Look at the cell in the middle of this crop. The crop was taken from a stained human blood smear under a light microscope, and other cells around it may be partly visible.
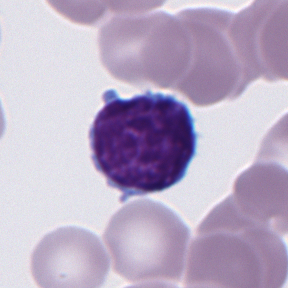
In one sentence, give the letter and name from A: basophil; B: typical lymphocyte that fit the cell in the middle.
The middle cell of the crop is a typical lymphocyte; accordingly, option B is correct.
